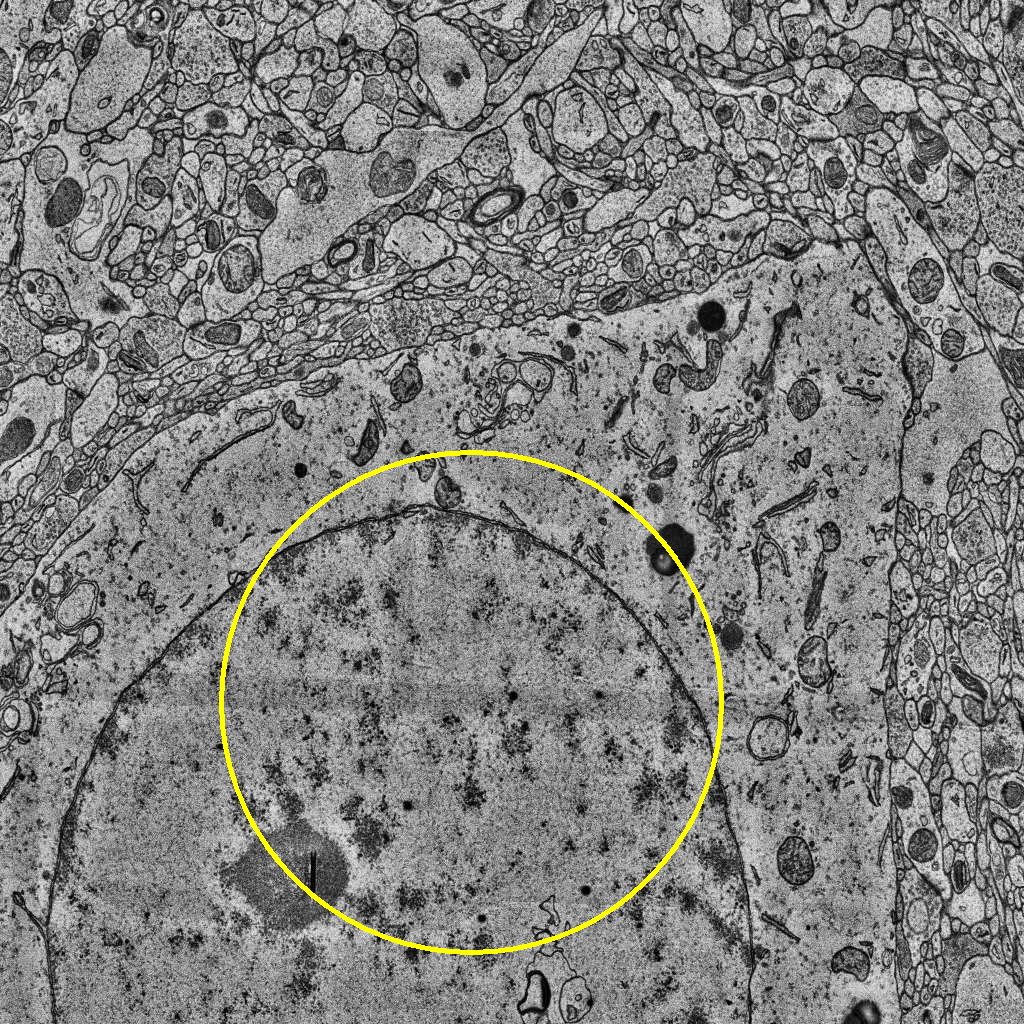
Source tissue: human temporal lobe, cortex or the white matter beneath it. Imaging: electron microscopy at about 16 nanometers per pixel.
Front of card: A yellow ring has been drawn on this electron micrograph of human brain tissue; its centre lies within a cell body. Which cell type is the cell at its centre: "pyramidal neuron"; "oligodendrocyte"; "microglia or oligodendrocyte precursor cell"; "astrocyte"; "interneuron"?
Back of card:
pyramidal neuron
